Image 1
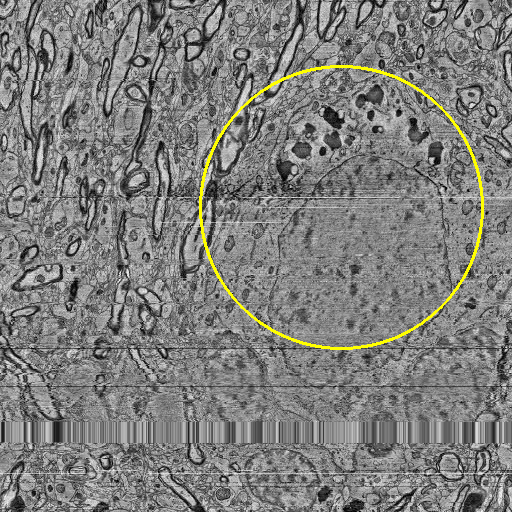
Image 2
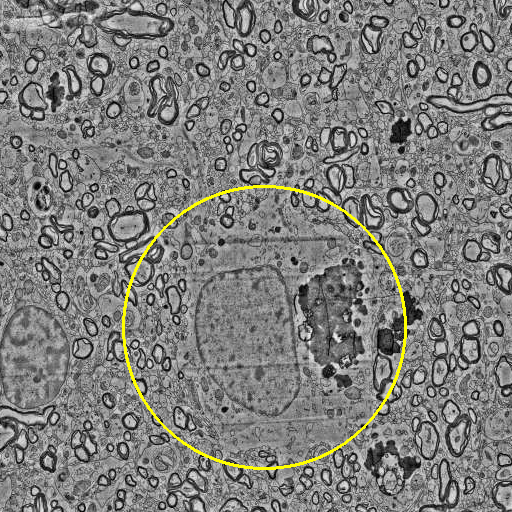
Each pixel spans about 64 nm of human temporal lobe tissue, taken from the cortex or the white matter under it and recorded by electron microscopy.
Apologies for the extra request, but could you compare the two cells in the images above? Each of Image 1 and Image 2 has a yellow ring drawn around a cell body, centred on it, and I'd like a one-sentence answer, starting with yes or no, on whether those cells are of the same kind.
No, the two cells are of two kinds.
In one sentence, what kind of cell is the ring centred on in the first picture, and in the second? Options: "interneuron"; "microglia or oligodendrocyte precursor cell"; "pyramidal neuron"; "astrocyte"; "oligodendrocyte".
The cell at the centre of the second ring is an astrocyte; the first ring's cell is a pyramidal neuron.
